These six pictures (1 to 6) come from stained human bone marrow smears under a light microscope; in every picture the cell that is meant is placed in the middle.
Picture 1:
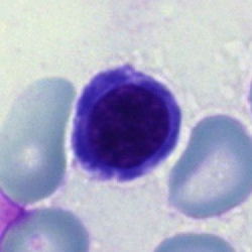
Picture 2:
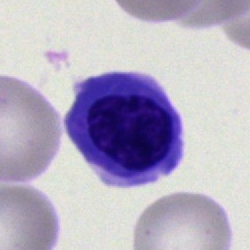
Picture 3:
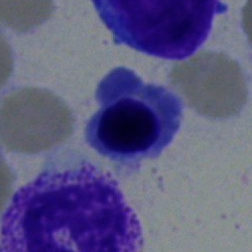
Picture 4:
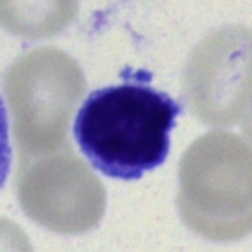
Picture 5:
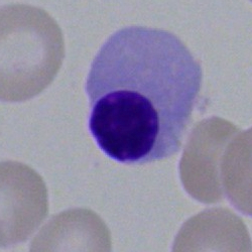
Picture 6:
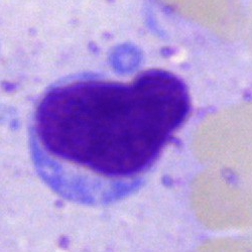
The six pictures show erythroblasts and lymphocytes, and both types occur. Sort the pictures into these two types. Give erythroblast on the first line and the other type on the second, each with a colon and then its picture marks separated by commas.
erythroblast: 1, 2, 3, 5
lymphocyte: 4, 6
